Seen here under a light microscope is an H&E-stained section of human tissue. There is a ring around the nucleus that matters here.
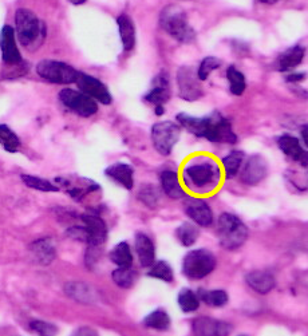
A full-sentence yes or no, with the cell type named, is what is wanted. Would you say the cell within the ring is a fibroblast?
No, the cell within the ring is a carcinoma cell; calling it a fibroblast would be wrong.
